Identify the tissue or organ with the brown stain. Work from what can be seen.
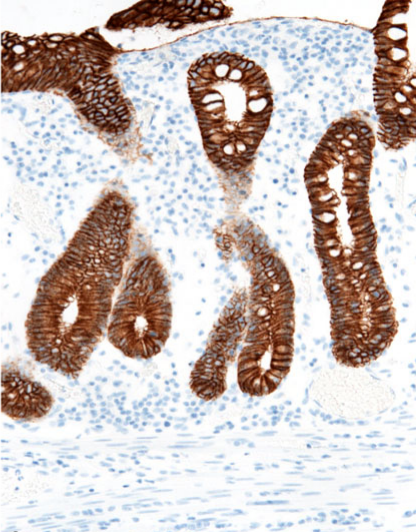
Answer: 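Brown stain outlines the epithelial cells of the tubular glands. The surrounding stroma is unstained, with only blue nuclei. On this evidence: crypt epithelium.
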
